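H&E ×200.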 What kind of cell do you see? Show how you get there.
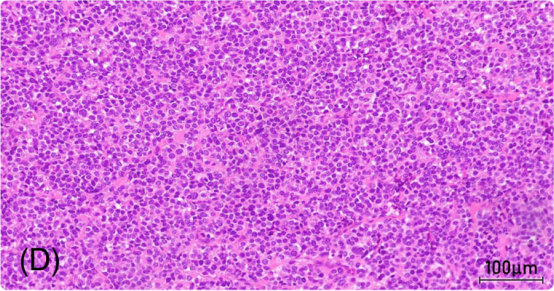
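Undifferentiated small blue cells. Densely packed cells in solid sheets. Small round, dark-staining nuclei. Scant cytoplasm and little intervening stroma.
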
